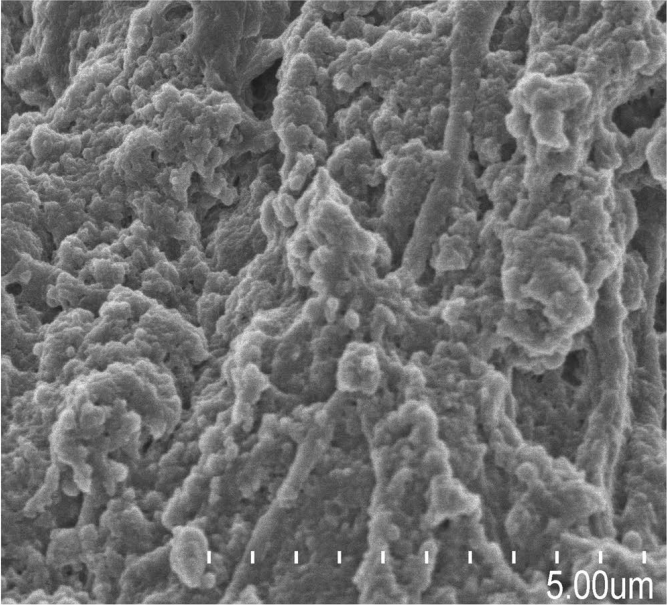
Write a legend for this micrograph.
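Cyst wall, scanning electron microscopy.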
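Long, rope-like strands run diagonally across the field between the clumps, and many rounded blebs sit on them. No flat cell surfaces can be made out, and no long slender hair-like projection stands out. The overall impression is of a lining thrown up into dense villous growths.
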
